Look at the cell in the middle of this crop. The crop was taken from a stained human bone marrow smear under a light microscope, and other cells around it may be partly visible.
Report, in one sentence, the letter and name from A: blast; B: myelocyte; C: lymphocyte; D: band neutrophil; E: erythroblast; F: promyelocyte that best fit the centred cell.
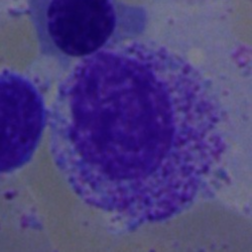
The cell centered in the crop is a myelocyte, making option B the correct pick.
